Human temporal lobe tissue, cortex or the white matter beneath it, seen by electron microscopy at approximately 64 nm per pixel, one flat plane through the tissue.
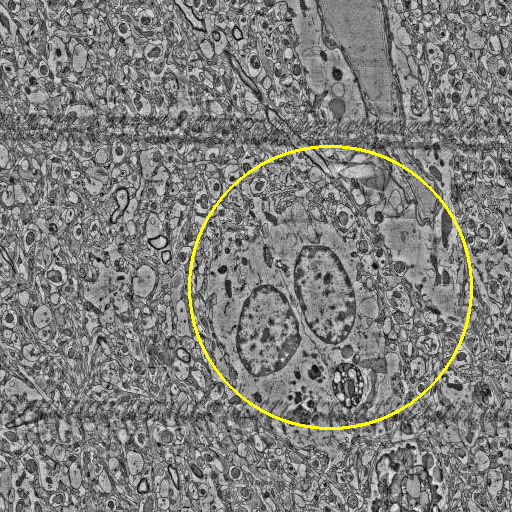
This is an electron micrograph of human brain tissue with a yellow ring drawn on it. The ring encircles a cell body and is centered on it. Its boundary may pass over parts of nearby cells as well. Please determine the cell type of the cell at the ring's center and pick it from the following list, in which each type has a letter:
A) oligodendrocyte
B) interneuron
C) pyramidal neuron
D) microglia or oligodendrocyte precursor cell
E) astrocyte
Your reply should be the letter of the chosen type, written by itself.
E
